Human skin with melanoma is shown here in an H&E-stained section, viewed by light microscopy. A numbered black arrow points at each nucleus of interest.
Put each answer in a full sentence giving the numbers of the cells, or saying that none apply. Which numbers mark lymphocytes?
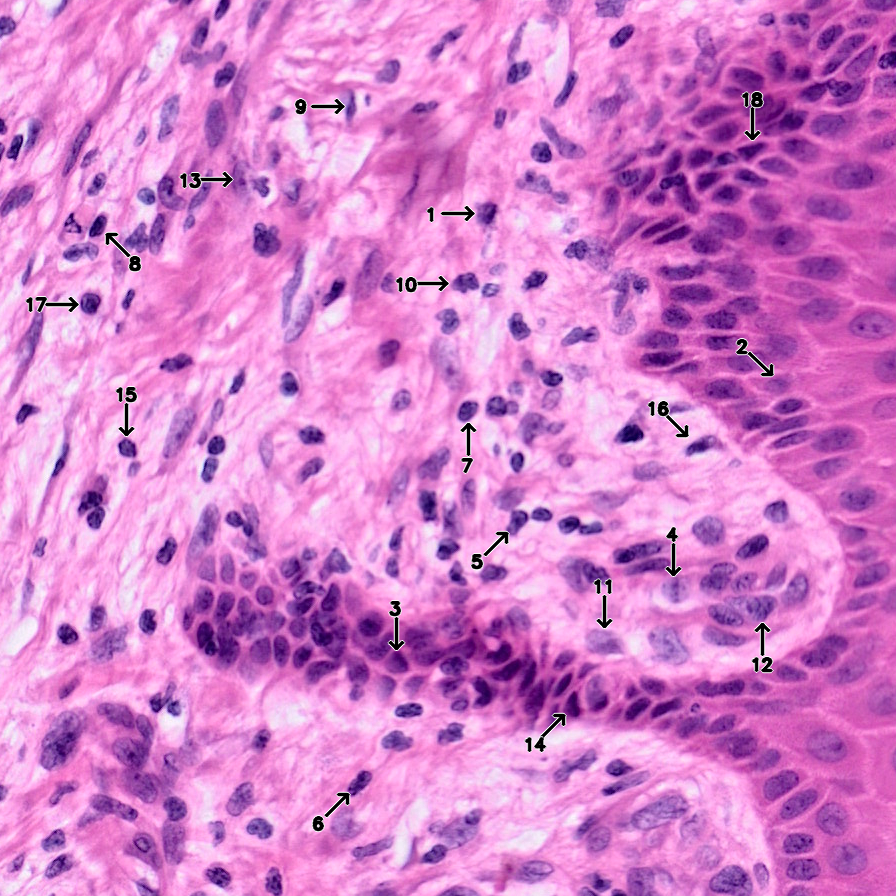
So, the cells with numbers 1, 5, 6, 7, 8, 10, 15 and 17 are lymphocytes.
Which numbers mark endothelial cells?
Cells 4 and 12 are endothelial cells by cell type.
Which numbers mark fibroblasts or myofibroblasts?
In this section, the cells numbered 9, 11, 13 and 16 are fibroblasts or myofibroblasts.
